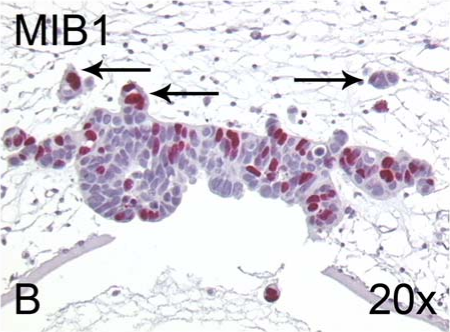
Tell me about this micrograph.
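A compact tumor of epithelial cancer cells sits in loose mesenchyme, with a lobulated outline. The red nuclei are scattered throughout the mass rather than confined to one edge. Small clusters of tumor cells bud from the mass or lie apart from it in the surrounding loose tissue, some of them with red nuclei. The host mesenchyme around the tumor consists of sparse cells within a fine meshwork.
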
